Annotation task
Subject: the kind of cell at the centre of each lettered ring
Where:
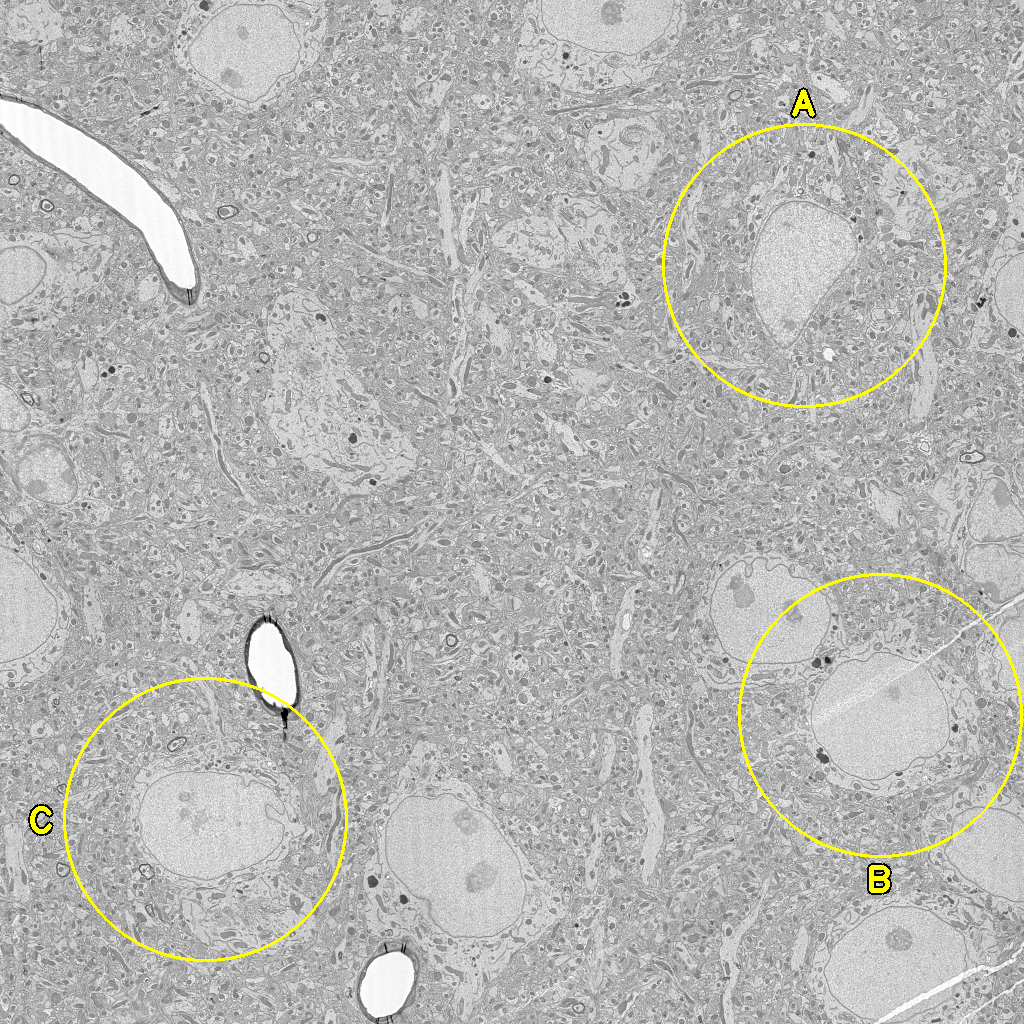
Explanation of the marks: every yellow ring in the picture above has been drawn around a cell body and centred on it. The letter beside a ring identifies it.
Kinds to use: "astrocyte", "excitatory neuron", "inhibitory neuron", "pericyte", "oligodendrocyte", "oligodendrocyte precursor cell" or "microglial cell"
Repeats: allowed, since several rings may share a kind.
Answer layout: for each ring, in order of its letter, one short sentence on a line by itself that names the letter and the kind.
The ring lettered A is drawn around an astrocyte.
The ring lettered B is drawn around an excitatory neuron.
The ring lettered C is drawn around an inhibitory neuron.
